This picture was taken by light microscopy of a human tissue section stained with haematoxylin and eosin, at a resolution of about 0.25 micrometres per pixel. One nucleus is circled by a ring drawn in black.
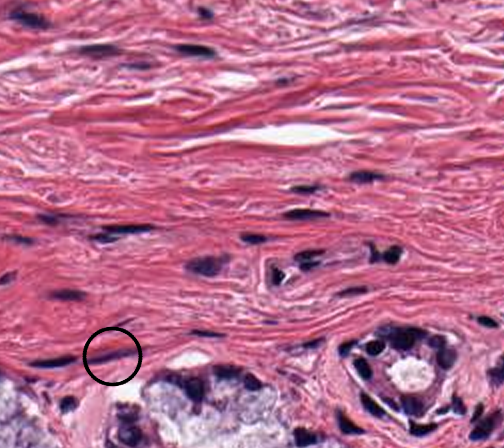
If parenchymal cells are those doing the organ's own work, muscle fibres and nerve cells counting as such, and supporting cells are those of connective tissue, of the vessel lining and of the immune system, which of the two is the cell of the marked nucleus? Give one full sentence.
It is a supporting cell that holds the marked nucleus.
